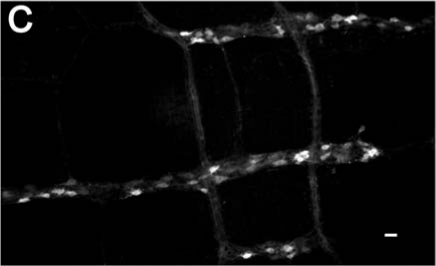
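Myenteric plexus at low magnification with elongated ganglia joined by thinner connecting strands in a rectangular mesh. Many small bright neuronal cell bodies are packed along the ganglia, while the connecting strands show faint fibrous labelling.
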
